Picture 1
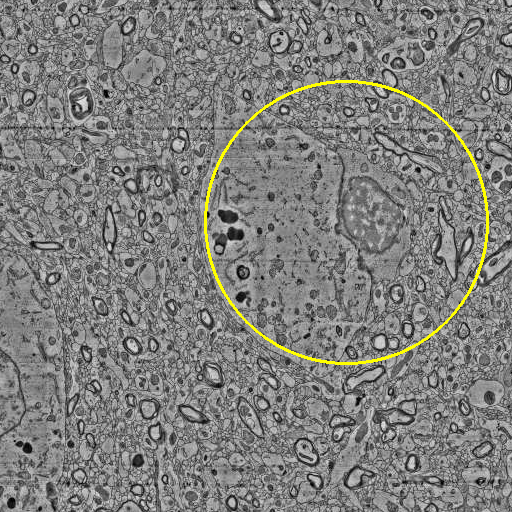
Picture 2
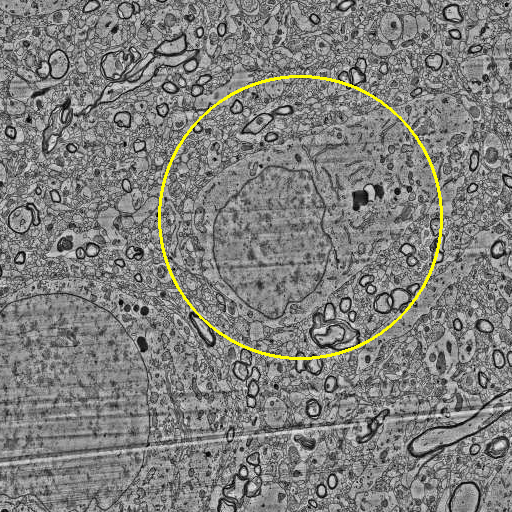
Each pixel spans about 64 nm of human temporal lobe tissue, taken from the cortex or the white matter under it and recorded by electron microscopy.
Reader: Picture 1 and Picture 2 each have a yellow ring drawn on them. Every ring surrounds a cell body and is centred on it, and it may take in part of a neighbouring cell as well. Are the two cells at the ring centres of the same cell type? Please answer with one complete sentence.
No, the cells are of two cell types.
